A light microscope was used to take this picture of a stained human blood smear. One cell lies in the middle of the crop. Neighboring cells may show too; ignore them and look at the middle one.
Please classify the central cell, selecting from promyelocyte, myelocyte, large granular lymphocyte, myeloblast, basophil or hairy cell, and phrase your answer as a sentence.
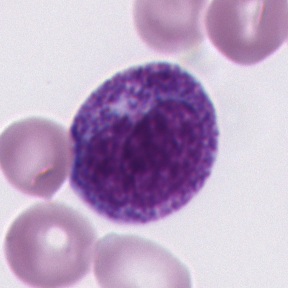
Within this crop, a myelocyte occupies the central position.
